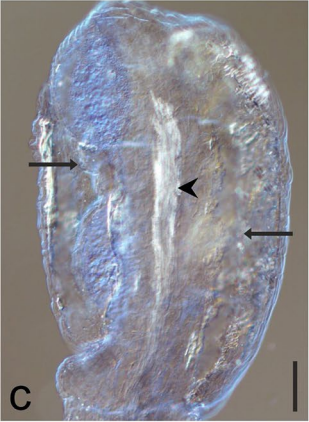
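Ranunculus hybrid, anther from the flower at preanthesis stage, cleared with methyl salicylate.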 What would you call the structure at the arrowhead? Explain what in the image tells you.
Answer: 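Vascular strand. A narrow bright longitudinal strand runs along the middle of the anther. It lies between the two lateral chambers.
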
